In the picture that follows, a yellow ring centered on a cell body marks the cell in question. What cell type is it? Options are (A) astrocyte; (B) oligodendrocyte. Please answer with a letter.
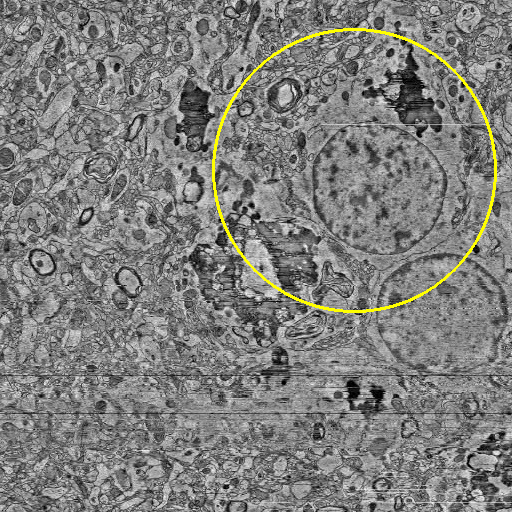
A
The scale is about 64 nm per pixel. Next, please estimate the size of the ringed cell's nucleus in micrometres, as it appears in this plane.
The ringed cell's nucleus is about 9 micrometres across in this plane.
